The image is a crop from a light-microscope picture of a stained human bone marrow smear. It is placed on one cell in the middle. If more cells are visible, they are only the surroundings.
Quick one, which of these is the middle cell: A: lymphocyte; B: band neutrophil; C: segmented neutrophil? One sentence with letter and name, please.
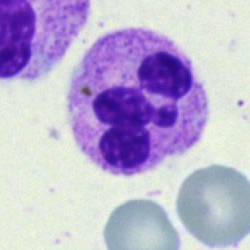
The cell in the middle is a segmented neutrophil, and so option C is correct.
